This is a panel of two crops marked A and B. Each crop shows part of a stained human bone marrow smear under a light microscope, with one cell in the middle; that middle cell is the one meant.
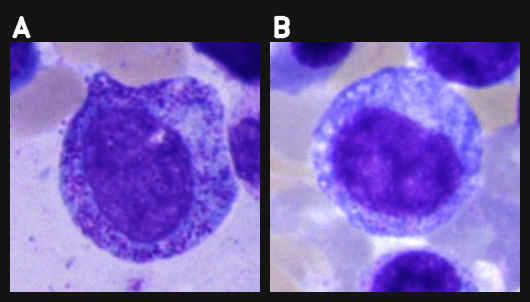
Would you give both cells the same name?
yes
